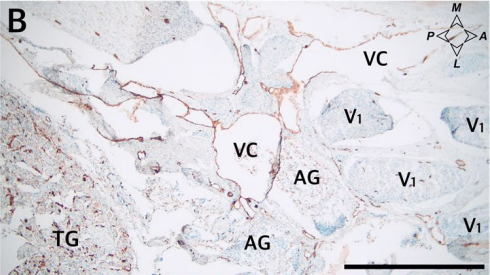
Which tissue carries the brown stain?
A: The vascular endothelium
